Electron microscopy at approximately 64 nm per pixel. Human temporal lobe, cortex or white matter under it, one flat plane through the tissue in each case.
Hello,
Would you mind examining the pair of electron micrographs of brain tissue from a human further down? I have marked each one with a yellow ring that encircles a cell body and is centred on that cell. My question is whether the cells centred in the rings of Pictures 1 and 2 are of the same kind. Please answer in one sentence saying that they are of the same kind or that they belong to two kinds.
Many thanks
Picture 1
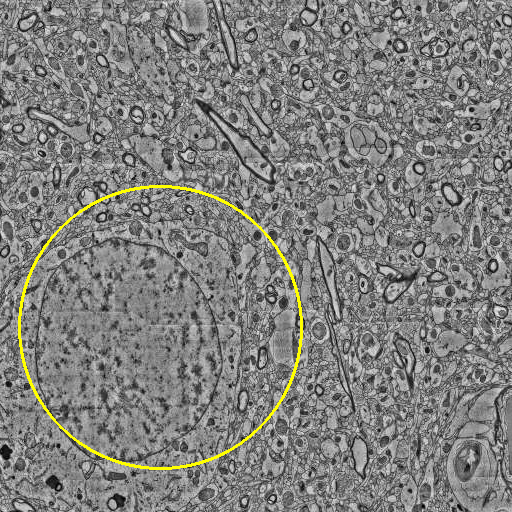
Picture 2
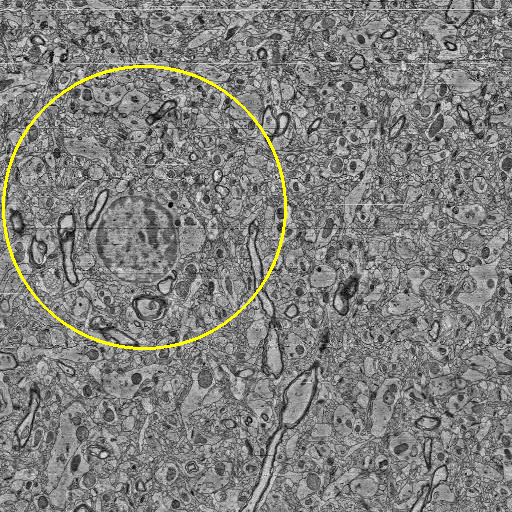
In Pictures 1 and 2, the cells at the heart of the rings belong to two kinds.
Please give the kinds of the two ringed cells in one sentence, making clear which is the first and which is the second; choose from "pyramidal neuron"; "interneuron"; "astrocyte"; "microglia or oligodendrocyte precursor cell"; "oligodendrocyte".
In the second picture the ringed cell is an oligodendrocyte; in the first it is a pyramidal neuron.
